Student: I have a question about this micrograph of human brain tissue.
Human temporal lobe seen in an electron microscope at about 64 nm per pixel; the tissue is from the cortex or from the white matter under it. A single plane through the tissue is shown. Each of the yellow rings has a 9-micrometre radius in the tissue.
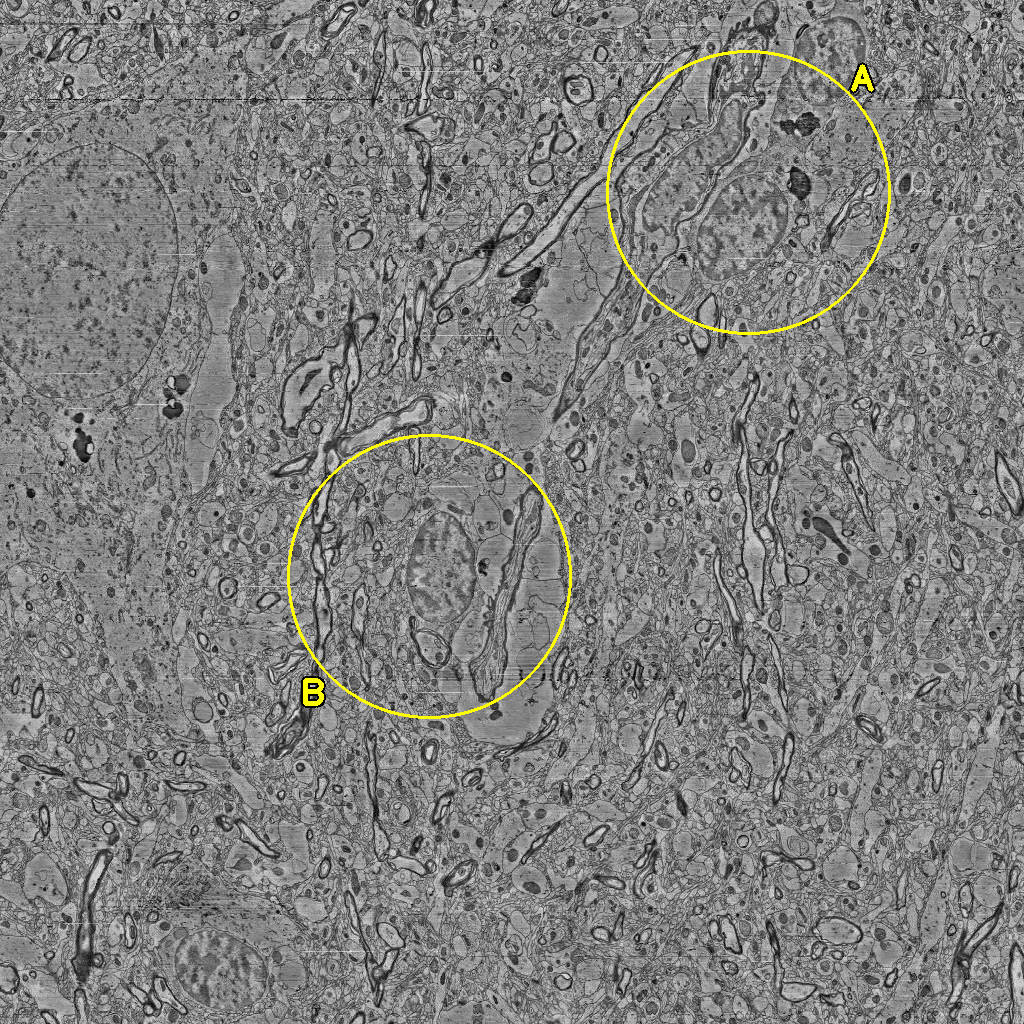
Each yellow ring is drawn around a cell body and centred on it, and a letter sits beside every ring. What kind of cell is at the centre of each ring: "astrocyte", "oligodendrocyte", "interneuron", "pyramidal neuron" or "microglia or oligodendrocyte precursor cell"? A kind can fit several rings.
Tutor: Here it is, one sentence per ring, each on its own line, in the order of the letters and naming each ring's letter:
For ring A, the cell at the centre is an oligodendrocyte.
For ring B, the cell at the centre is an oligodendrocyte.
